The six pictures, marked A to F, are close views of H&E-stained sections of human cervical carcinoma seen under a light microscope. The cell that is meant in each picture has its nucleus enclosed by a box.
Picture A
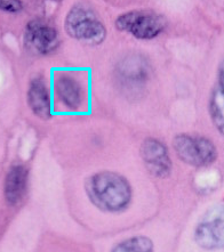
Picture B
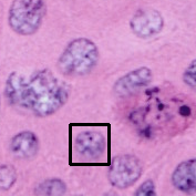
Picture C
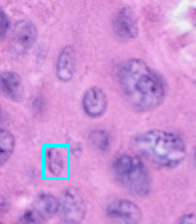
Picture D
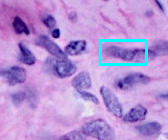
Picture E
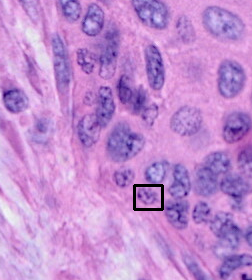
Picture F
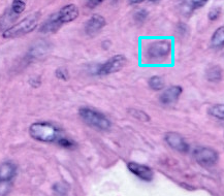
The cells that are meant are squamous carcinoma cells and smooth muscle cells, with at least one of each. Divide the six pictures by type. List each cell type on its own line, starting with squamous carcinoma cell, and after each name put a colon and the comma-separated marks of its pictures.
squamous carcinoma cell: A, B, C, E
smooth muscle cell: D, F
